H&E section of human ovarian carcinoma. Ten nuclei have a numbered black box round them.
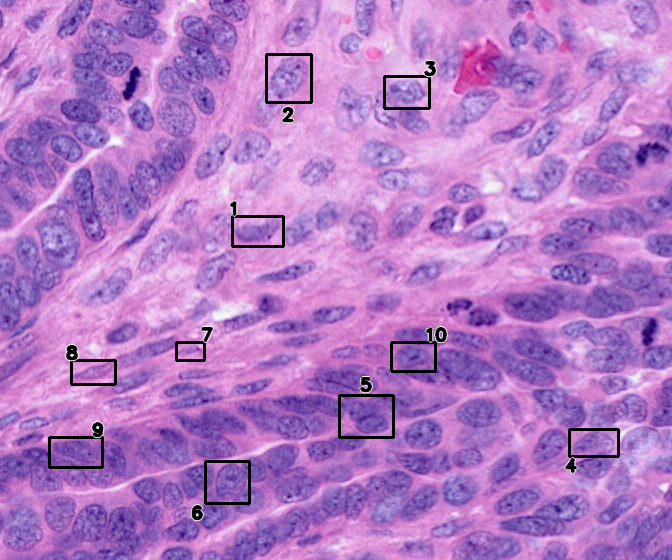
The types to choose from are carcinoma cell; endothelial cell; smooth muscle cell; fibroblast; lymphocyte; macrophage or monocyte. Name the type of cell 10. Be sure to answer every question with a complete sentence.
Identified as a carcinoma cell is the cell bearing the number 10.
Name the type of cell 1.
The numbered cell 1 in this field is a fibroblast.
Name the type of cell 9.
The cell indicated with the number 9 is classed as a carcinoma cell.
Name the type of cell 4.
The cell that bears the number 4 is a carcinoma cell.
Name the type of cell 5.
Cell number 5 in this section is a carcinoma cell.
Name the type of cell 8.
Cell 8 in the field is a fibroblast.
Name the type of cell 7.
Number 7 is placed on a fibroblast here.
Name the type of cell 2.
Cell 2, as marked in the section, is a fibroblast.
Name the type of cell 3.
The correct answer for cell 3 is a fibroblast.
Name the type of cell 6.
The cell numbered 6 represents a carcinoma cell.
